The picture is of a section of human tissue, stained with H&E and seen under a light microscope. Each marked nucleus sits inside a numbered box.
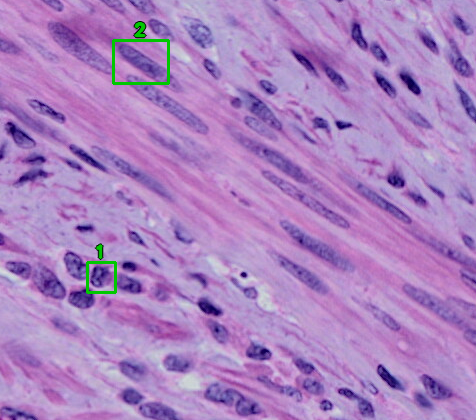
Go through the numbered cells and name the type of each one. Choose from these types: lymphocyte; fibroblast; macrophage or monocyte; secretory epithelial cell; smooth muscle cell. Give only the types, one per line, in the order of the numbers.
lymphocyte
smooth muscle cell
